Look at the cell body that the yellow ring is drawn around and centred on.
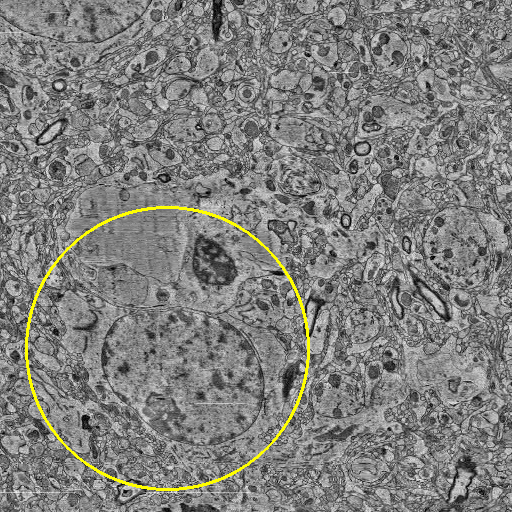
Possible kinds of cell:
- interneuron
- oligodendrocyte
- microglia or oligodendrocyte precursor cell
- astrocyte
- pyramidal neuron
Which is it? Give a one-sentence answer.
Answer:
The centred cell body is that of an astrocyte.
